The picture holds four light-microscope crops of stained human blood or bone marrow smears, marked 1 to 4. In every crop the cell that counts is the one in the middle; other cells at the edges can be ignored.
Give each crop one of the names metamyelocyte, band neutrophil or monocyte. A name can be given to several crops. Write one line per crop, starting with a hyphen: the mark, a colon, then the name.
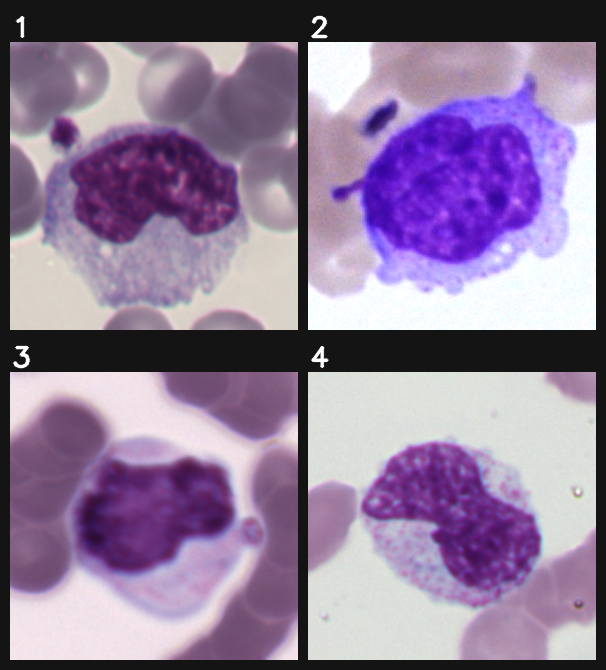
- 1: monocyte
- 2: monocyte
- 3: metamyelocyte
- 4: band neutrophil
